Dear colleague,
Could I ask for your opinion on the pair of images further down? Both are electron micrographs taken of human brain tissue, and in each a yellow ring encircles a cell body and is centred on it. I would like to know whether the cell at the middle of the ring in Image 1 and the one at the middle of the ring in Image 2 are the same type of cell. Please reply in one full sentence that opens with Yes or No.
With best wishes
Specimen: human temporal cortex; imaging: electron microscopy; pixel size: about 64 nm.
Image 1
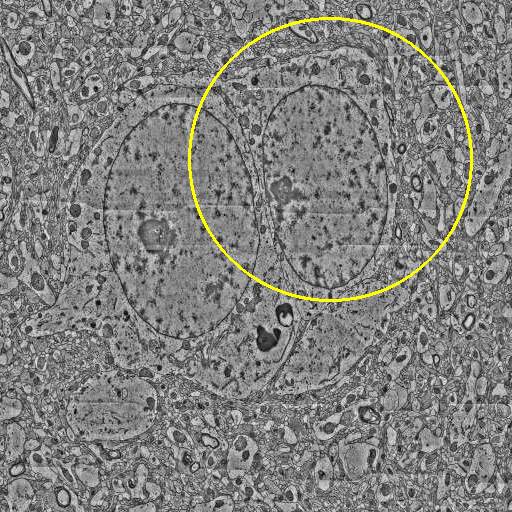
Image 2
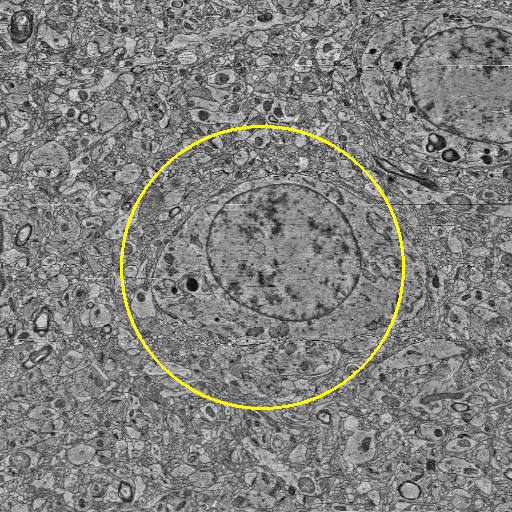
Yes, the cells at the ring centres in Image 1 and Image 2 are of one type.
